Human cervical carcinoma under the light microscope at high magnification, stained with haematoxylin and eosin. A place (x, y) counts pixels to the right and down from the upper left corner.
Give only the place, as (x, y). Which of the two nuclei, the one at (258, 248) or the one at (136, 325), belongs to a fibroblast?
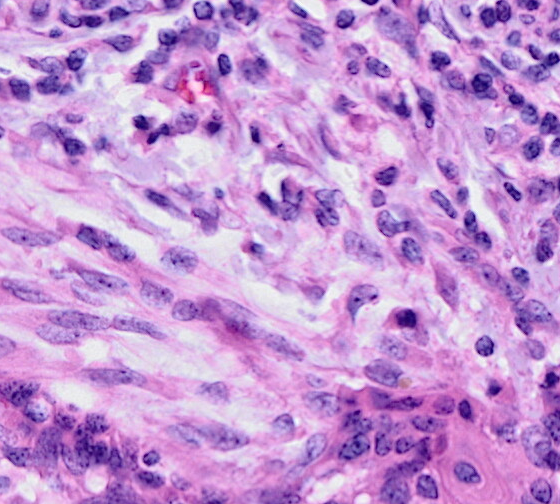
(136, 325)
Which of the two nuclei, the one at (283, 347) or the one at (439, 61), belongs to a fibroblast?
(283, 347)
